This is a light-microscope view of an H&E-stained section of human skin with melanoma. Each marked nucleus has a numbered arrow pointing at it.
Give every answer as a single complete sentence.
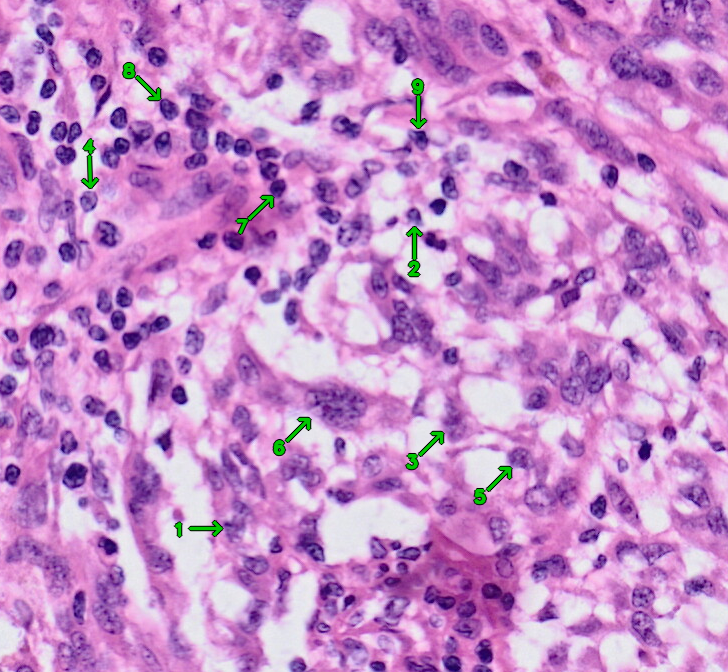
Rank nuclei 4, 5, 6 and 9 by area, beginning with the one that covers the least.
The order from the smallest nucleus to the largest is 9, 4, 5, 6.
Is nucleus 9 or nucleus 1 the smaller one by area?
With nucleus 1 about 2 times its size, nucleus 9 is the smaller of the two.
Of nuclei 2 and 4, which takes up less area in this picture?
Nucleus 2 covers less area, with nucleus 4 about 1.5 times as large.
